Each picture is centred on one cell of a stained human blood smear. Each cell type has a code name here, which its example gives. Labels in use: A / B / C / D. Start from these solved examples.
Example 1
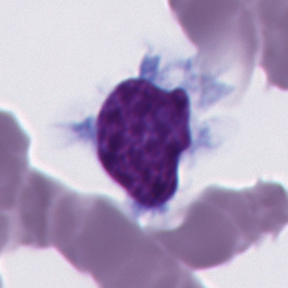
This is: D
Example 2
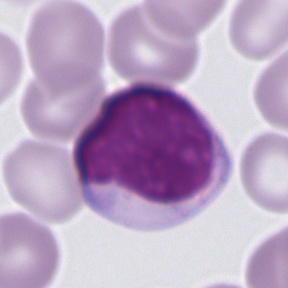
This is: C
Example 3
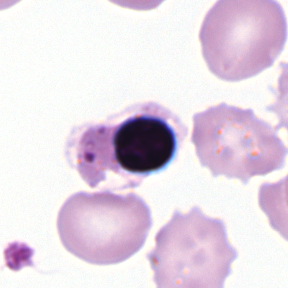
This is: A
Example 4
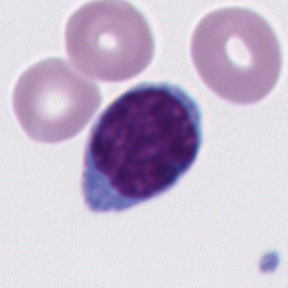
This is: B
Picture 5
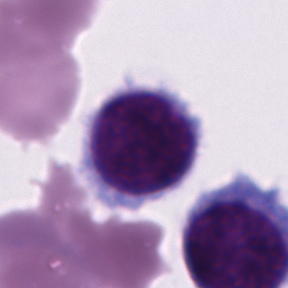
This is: D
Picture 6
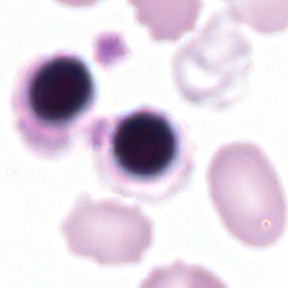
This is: A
